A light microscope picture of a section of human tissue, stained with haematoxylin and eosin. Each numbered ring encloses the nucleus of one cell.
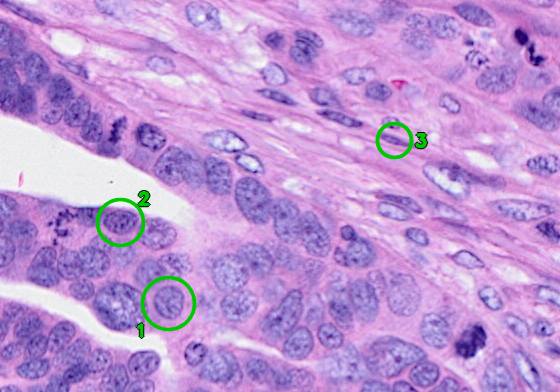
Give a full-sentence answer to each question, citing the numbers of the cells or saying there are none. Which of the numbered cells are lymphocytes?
None of the numbered cells is one of the lymphocytes.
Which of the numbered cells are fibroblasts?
The cell bearing the number 3 is a fibroblast, unlike the rest of the numbered cells.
